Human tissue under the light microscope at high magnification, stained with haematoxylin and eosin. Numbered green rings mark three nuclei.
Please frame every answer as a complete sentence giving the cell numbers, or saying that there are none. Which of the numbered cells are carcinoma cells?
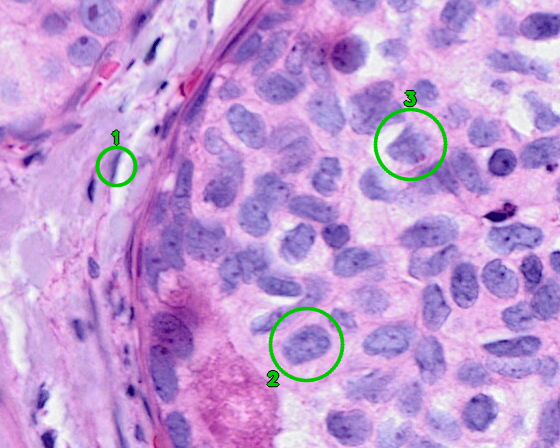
The cells 2 and 3 in this section are carcinoma cells.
